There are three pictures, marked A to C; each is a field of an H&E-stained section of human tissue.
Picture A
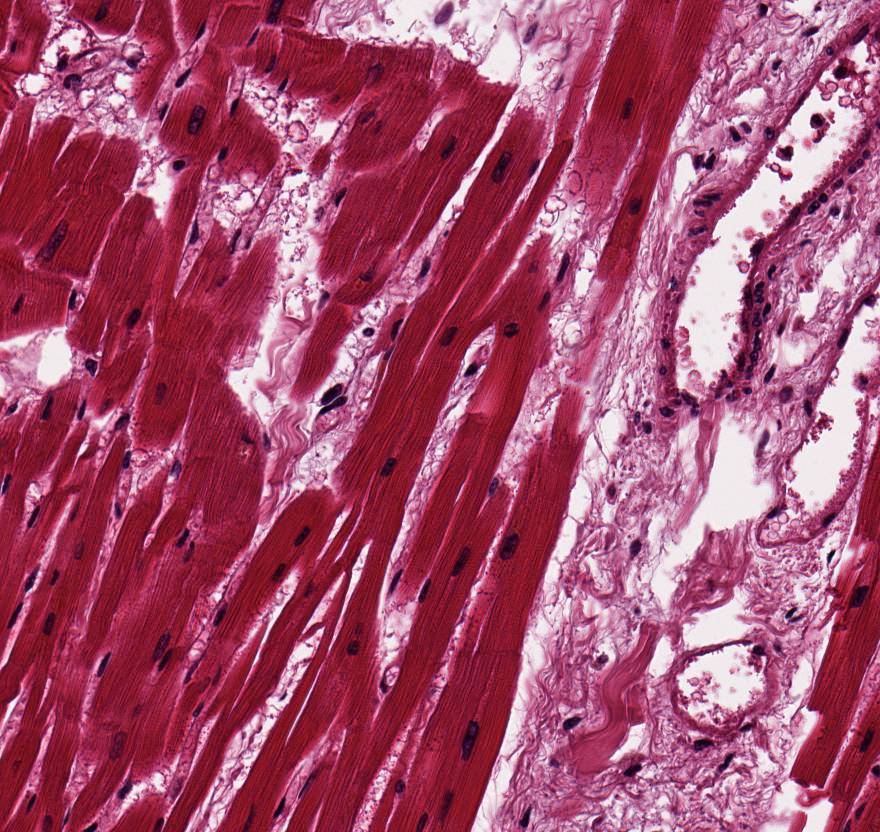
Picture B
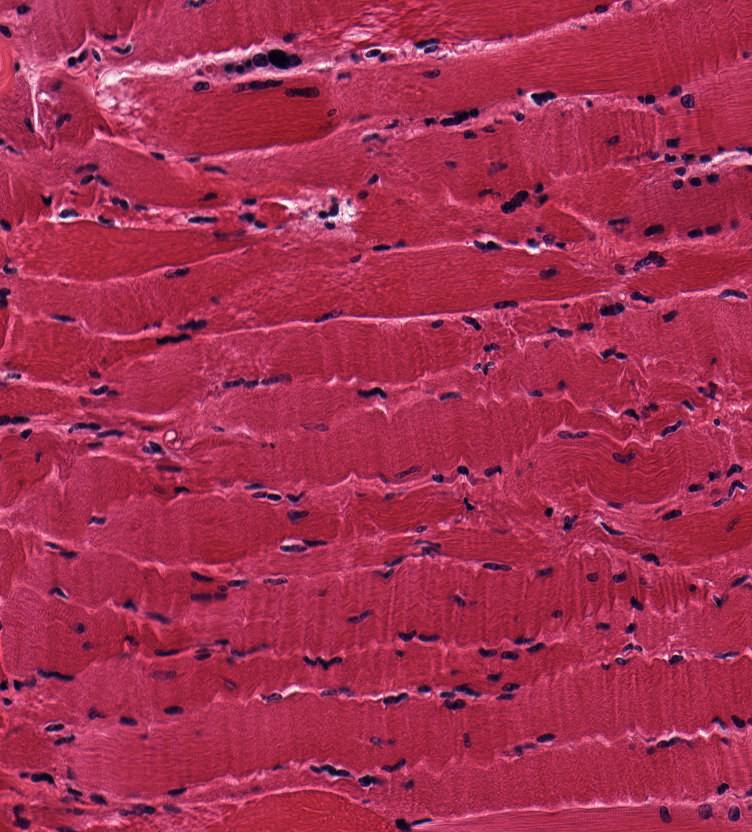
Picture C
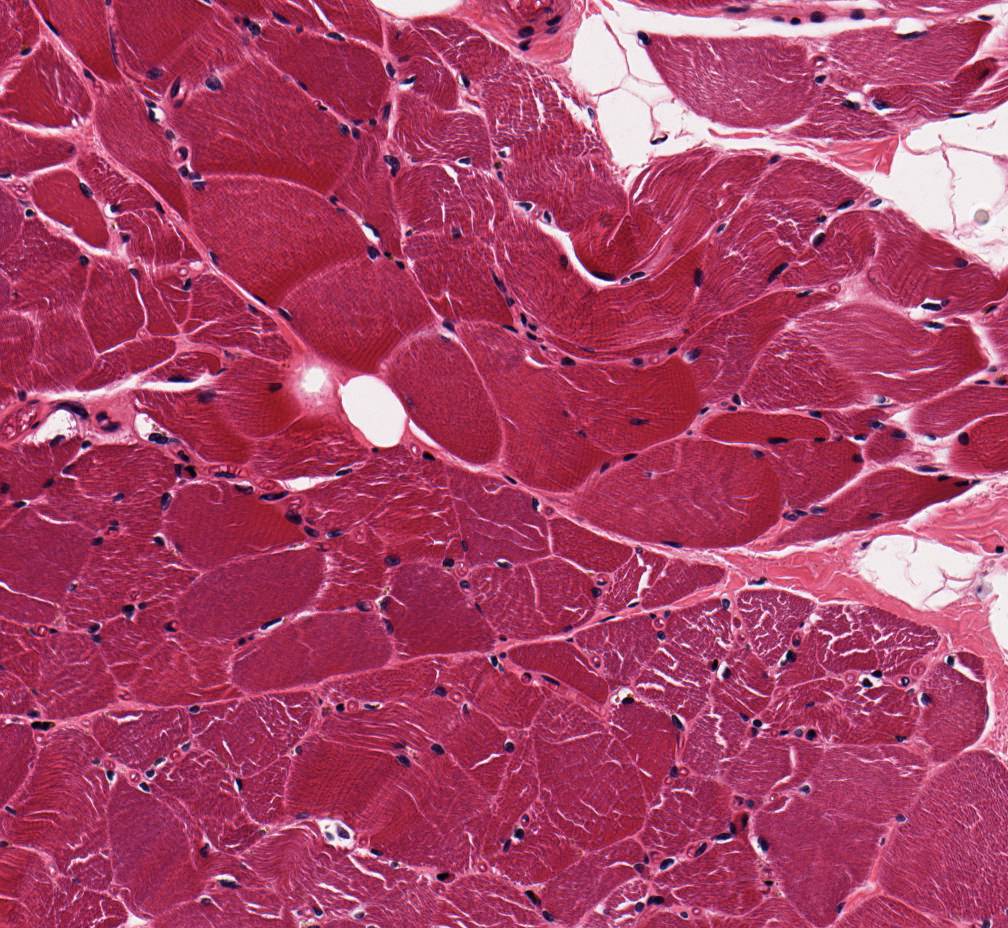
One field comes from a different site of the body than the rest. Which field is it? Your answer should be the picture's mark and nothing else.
A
